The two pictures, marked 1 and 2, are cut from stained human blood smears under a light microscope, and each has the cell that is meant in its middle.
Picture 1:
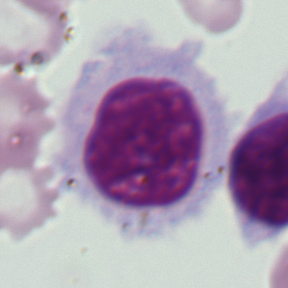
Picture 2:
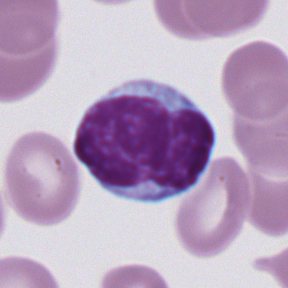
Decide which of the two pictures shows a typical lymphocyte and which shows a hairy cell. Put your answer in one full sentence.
Picture 2 shows a typical lymphocyte, while picture 1 shows a hairy cell.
